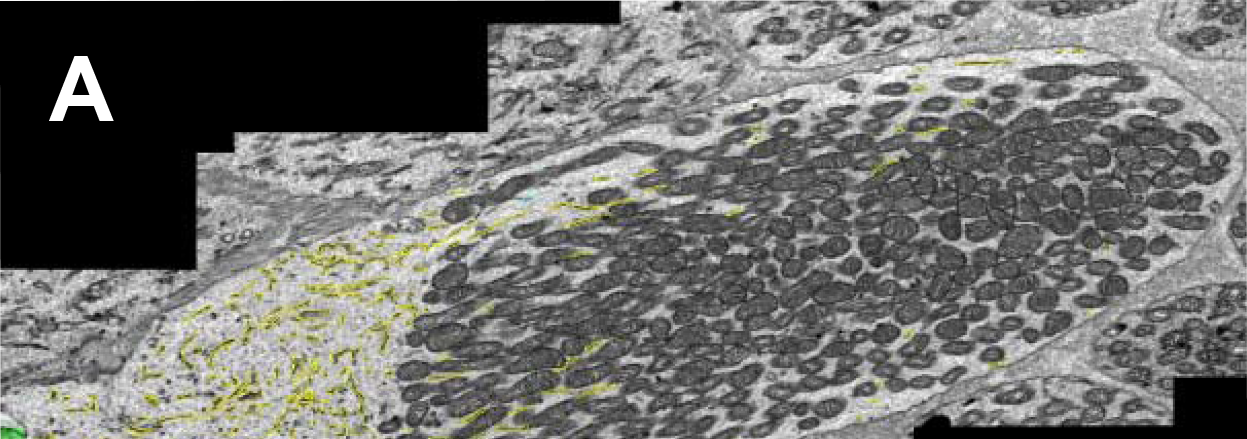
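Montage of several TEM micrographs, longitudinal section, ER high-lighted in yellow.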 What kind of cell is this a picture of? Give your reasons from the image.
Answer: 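An elongated cell profile shows a large cluster of densely packed dark mitochondria at one end. The other end holds lighter cytoplasm with membranous organelles.
Hence: cone.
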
